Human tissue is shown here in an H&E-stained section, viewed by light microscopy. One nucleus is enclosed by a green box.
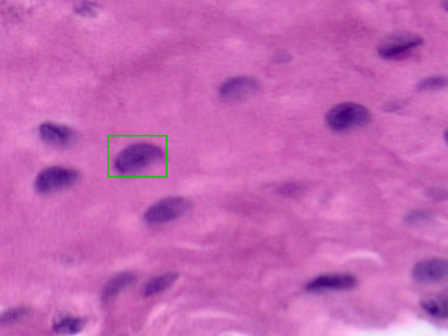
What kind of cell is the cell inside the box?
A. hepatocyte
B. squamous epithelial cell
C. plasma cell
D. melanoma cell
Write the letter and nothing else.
B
